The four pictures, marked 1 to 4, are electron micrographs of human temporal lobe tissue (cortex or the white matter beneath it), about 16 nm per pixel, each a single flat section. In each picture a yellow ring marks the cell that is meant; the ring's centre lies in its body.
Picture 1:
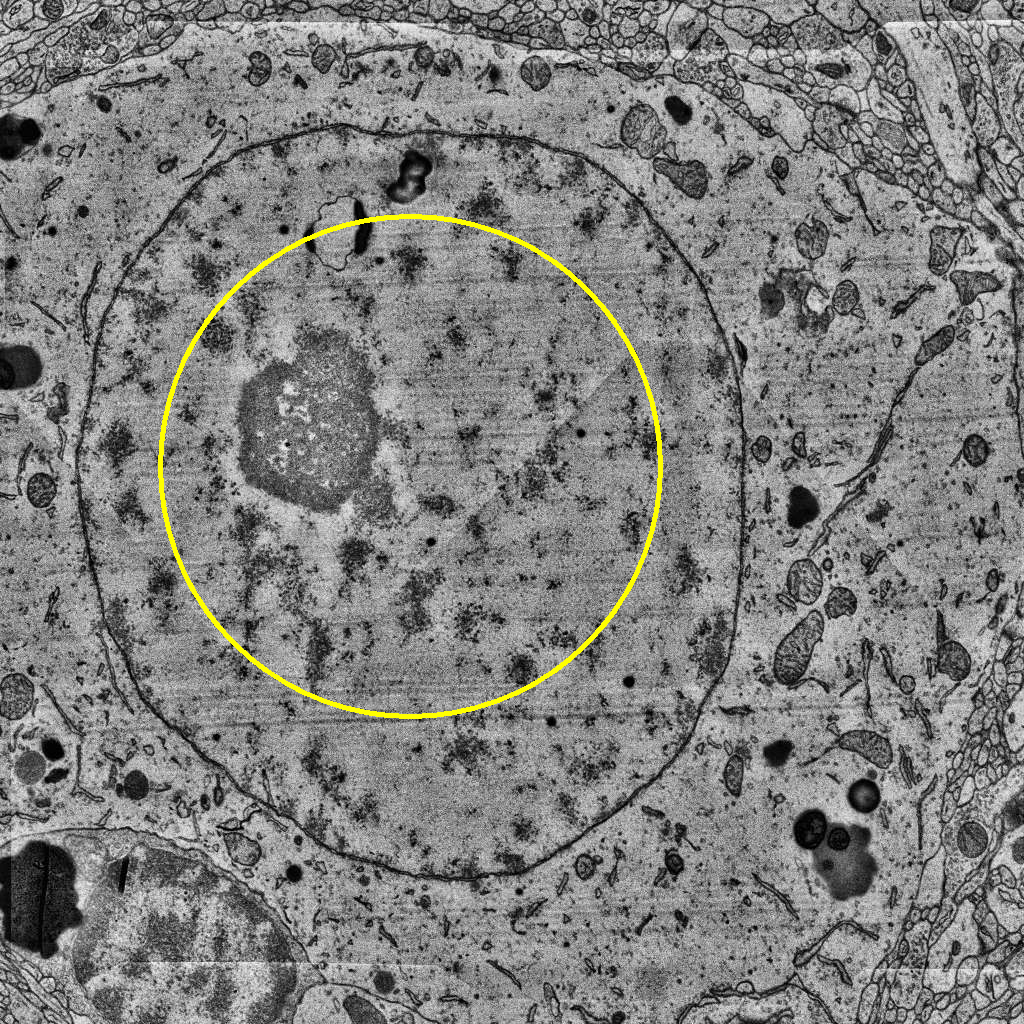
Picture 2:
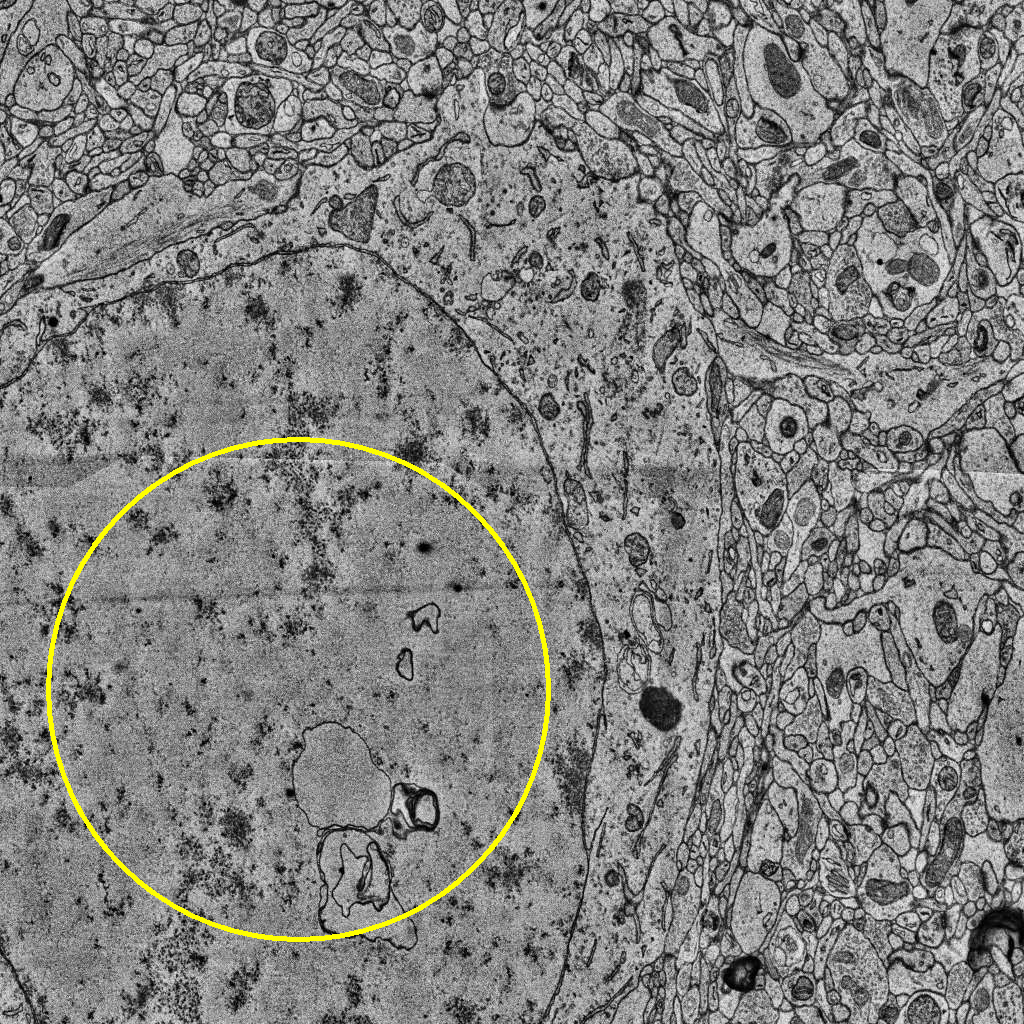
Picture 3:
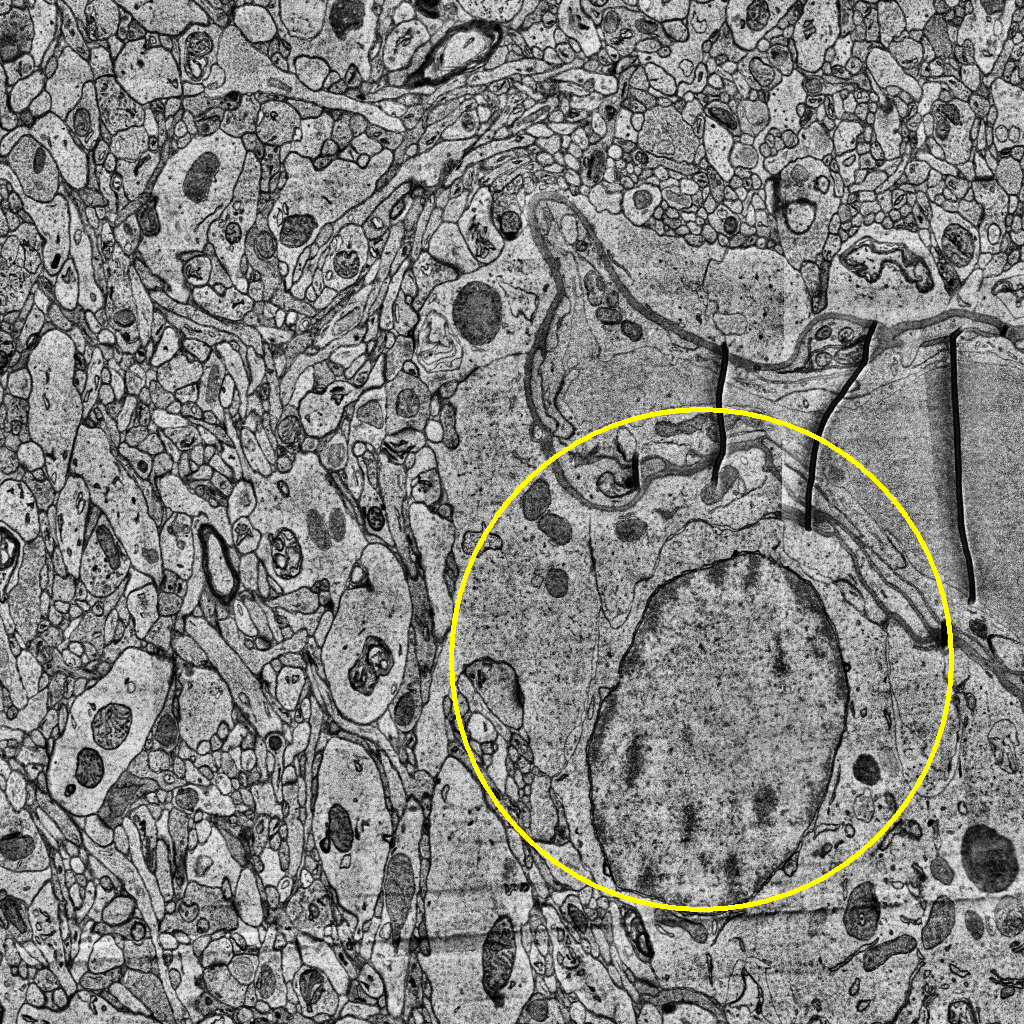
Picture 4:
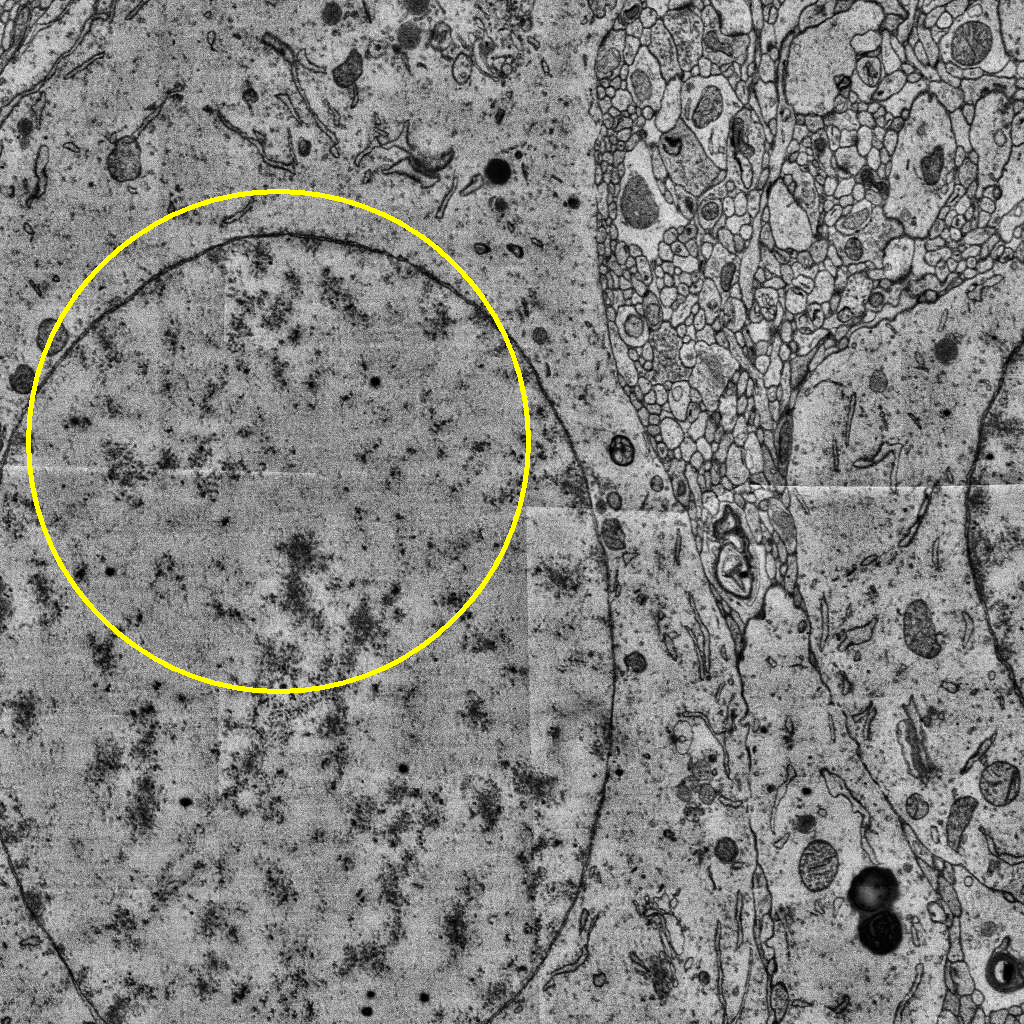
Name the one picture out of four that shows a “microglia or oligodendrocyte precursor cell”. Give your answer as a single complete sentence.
Picture 3 is the one that shows the “microglia or oligodendrocyte precursor cell”.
